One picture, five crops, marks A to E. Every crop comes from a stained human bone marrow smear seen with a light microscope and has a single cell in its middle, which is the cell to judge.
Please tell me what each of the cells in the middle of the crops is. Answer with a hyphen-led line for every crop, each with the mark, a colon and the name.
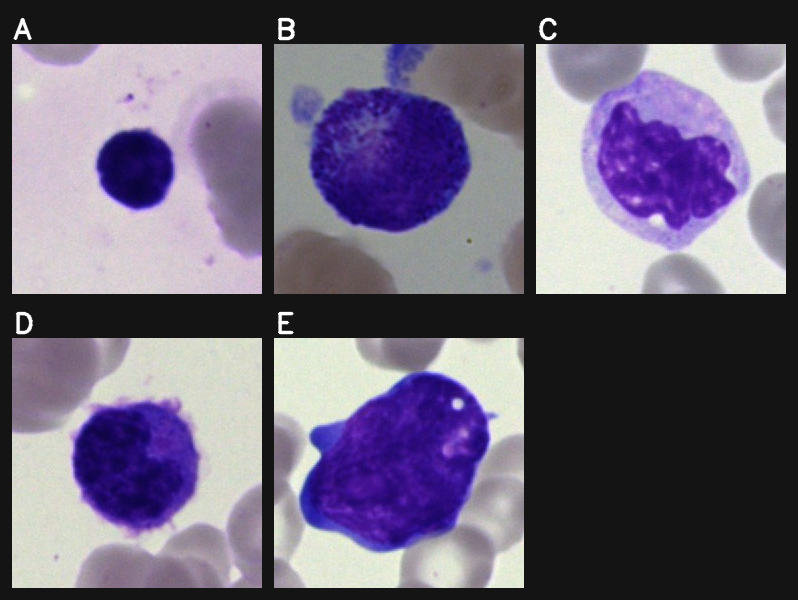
- A: lymphocyte
- B: myelocyte
- C: monocyte
- D: monocyte
- E: blast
